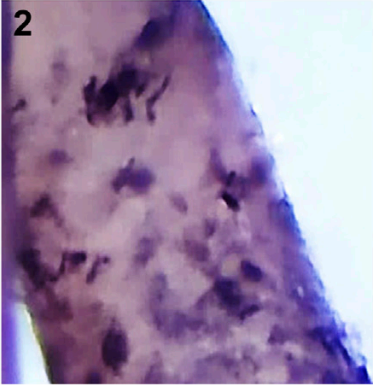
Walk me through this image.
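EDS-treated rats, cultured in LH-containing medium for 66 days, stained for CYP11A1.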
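This is a stretch of an isolated seminiferous tubule seen whole, lying diagonally across the field as a broad cylinder against a pale background. Its surface carries many separate dark purple-stained cells, irregular in shape, some elongated or spindle-like and others rounder, scattered unevenly over the tubule and crowded more densely in places. Between them the tubule wall shows a paler, diffuse lilac tint without distinct cells. Along one edge the outline of the tubule stands out more darkly. No inner structure of the tubule can be made out, because the whole tubule is viewed from outside rather than in section.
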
